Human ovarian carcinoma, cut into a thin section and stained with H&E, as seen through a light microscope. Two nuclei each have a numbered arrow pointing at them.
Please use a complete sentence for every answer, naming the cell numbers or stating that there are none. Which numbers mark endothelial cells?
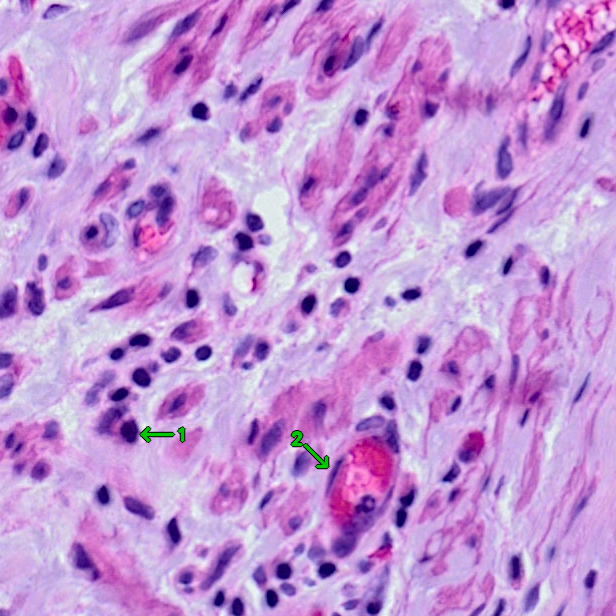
As for the numbered cells, only cell 2 is an endothelial cell.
